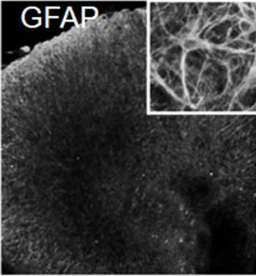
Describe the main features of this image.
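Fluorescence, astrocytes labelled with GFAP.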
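The label is densest along the outer edge of the slice, with fine fibres streaming inward in a radial pattern. The enlarged inset shows a tangled meshwork of thick, wavy processes rather than discrete round cells.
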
